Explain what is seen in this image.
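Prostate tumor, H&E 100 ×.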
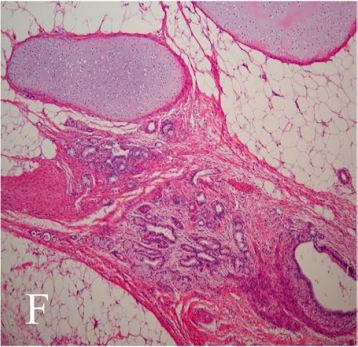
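Teratoma components are seen: rounded islands of pale lilac cartilage with cells in lacunae lie at the top, set in fat. Below them, bands of pink fibrous tissue hold small glands and a larger gland with an open lumen lined by columnar epithelium.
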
